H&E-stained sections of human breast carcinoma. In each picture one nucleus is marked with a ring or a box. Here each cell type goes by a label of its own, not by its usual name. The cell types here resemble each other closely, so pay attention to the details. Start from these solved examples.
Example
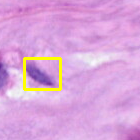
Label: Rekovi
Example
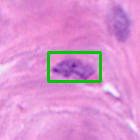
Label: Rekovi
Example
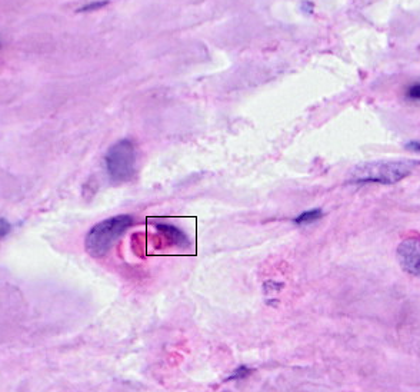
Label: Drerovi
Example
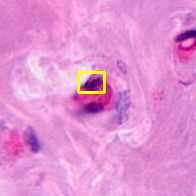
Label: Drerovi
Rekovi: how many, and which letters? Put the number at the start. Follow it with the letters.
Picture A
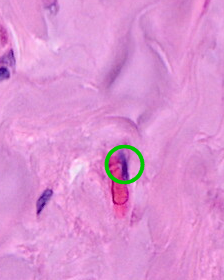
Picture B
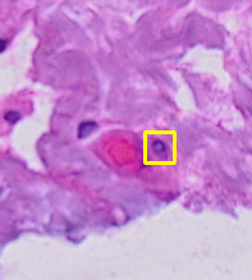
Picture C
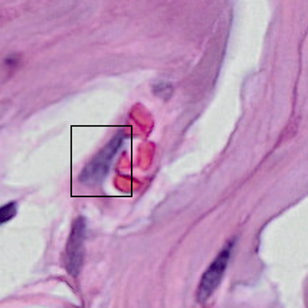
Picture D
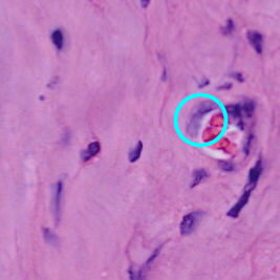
0, none of them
